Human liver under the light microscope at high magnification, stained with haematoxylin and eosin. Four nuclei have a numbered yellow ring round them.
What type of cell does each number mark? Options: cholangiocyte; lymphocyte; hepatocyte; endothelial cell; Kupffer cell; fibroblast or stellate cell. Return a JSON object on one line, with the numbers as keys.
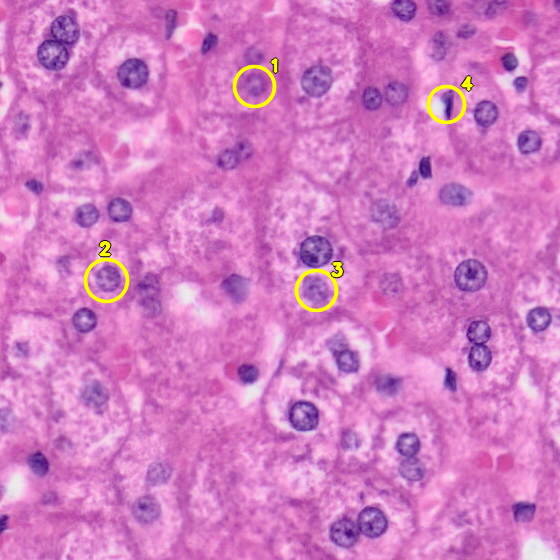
{"1": "hepatocyte", "2": "hepatocyte", "3": "hepatocyte", "4": "endothelial cell"}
